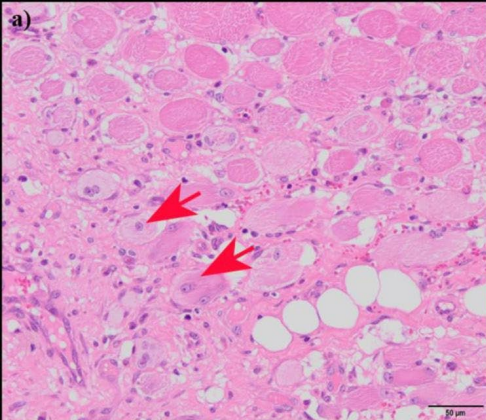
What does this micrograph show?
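Skeletal muscle in cross-section shows many round, pale pink muscle fibers of varying size, several of which have nuclei located in the center of the fiber rather than beneath the membrane. The fibers are separated by widened, loose connective tissue containing scattered small nuclei, and a group of empty round fat cells lies at the right.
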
